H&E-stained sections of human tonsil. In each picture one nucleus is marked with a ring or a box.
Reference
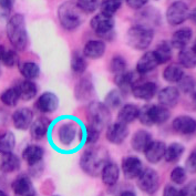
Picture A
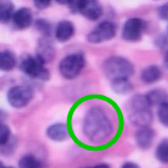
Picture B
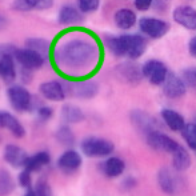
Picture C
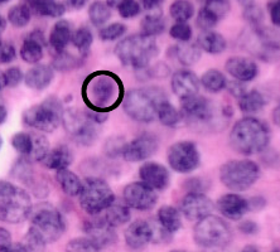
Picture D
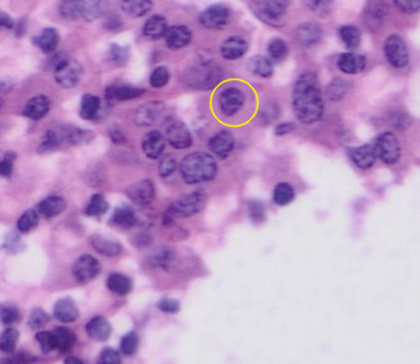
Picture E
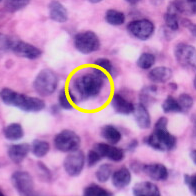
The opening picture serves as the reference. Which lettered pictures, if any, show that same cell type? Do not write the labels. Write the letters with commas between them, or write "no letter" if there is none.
no letter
